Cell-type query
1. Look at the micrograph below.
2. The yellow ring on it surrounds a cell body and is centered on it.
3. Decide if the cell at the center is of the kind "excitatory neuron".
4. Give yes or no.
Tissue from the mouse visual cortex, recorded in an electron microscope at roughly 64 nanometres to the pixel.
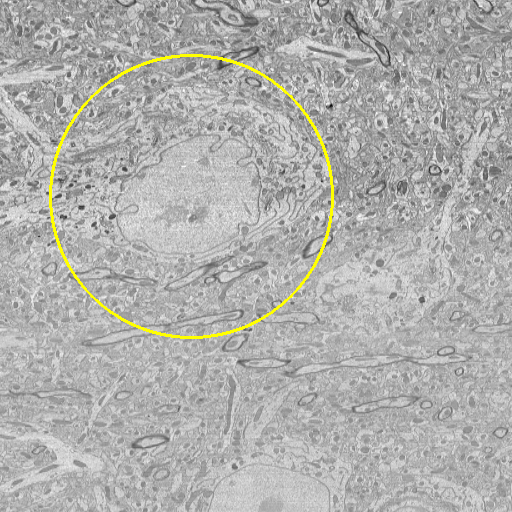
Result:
no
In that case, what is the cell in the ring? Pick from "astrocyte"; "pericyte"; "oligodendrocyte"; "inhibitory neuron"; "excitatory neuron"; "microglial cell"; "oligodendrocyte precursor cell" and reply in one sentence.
The cell this ring marks is an inhibitory neuron.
